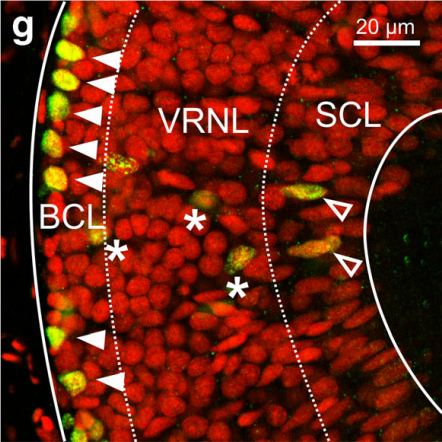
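A single row of green-yellow labelled nuclei lines the basalmost edge of the epithelium, while a few labelled round nuclei lie scattered in the middle layer. Near the luminal side a couple of labelled nuclei are elongated, like the other elongated nuclei of the supporting cell layer.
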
